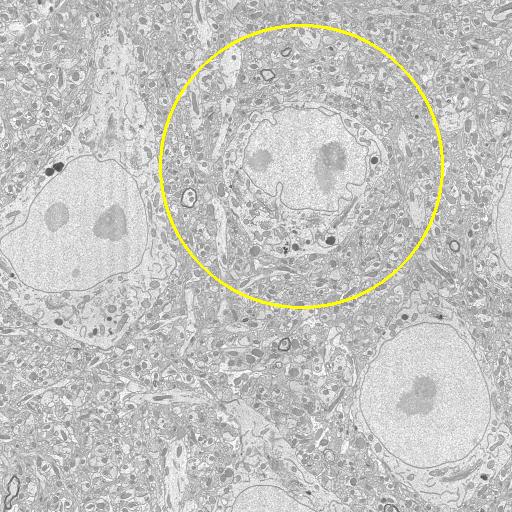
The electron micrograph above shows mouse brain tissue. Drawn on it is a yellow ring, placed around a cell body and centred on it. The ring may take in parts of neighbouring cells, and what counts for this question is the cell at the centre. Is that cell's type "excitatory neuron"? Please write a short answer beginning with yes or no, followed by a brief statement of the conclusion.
No, its type is another one.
